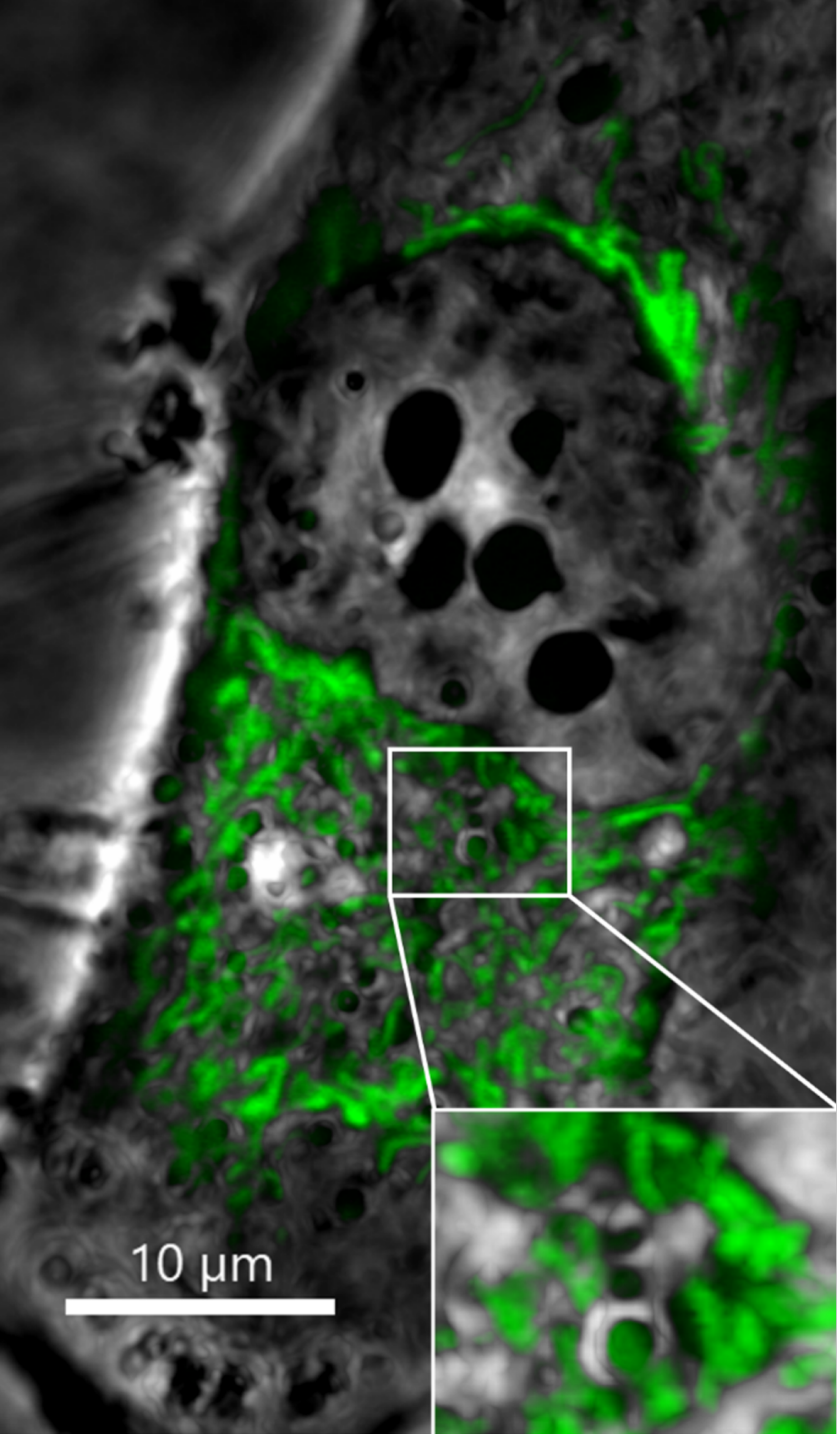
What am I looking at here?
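The large oval nucleus sits near the middle and holds several dark round bodies, likely nucleoli. The green network curves along the upper edge of the nucleus and is densest in the cytoplasm below it, where short rods and longer branched tubules crowd together. Between the green threads the phase contrast shows many small grey granules and round vesicle-like structures. The enlarged inset shows a patch of cytoplasm near the nucleus, where green tubules lie closely against these grey structures.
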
